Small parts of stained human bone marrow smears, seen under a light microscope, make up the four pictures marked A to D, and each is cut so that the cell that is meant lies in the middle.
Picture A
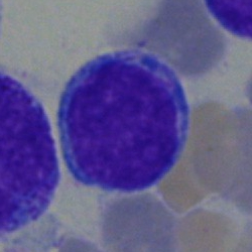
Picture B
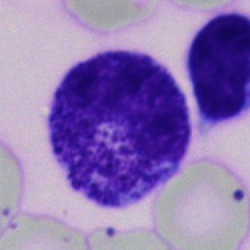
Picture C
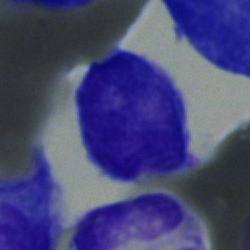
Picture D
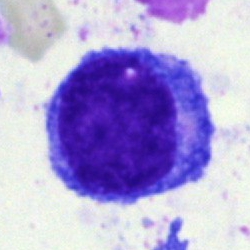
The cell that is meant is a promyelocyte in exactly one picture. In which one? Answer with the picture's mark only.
B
